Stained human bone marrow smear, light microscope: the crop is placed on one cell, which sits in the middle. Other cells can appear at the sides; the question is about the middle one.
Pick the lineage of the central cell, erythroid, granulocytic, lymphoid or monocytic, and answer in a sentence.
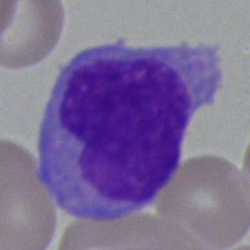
From the monocytic lineage comes the cell in the middle of the crop.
